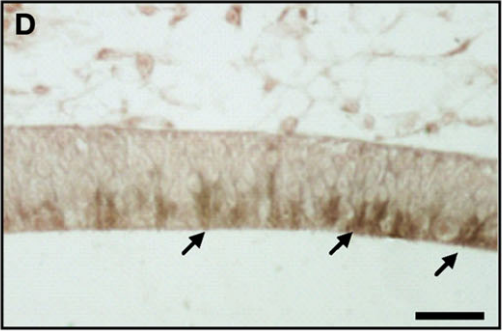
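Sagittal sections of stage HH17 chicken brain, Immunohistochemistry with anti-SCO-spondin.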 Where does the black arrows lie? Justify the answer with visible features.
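Apical region. Brown deposits are concentrated along the lower edge of the epithelial band, the edge facing the empty cavity. The upper part of the epithelium and the overlying loose tissue are pale.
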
